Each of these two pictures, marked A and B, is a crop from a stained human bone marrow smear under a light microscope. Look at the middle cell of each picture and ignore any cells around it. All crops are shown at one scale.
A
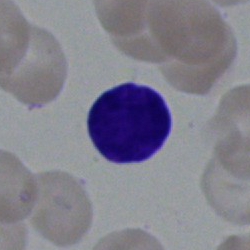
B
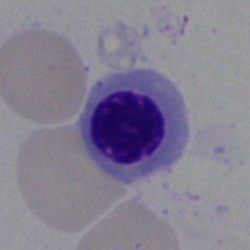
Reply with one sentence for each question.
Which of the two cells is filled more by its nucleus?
Of the two, the nucleus in picture A makes up the greater part of its cell.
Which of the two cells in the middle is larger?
It is the cell in picture B, about 1.5 times as large in area as the cell in picture A.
